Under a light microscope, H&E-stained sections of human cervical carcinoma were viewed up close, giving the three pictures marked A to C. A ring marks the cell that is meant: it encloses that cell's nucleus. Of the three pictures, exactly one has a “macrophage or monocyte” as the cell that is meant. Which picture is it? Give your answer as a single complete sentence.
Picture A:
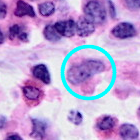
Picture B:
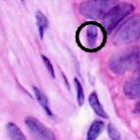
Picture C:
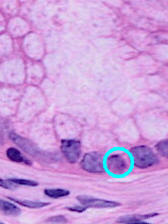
The picture with the “macrophage or monocyte” is A.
